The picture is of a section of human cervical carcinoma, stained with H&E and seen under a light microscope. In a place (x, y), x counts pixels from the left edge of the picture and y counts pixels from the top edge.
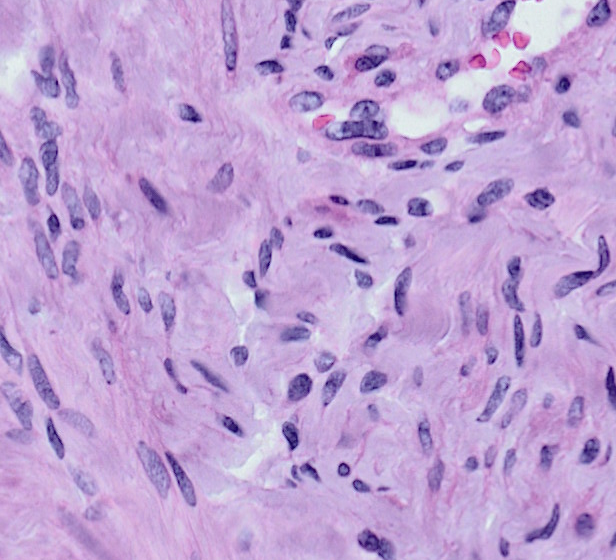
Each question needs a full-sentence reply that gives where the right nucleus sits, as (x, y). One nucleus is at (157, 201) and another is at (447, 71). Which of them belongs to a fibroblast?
The nucleus at (157, 201) is the member of the pair belonging to a fibroblast.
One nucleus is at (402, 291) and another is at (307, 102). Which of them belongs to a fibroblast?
The nucleus that sits at (402, 291) is the nucleus of a fibroblast.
